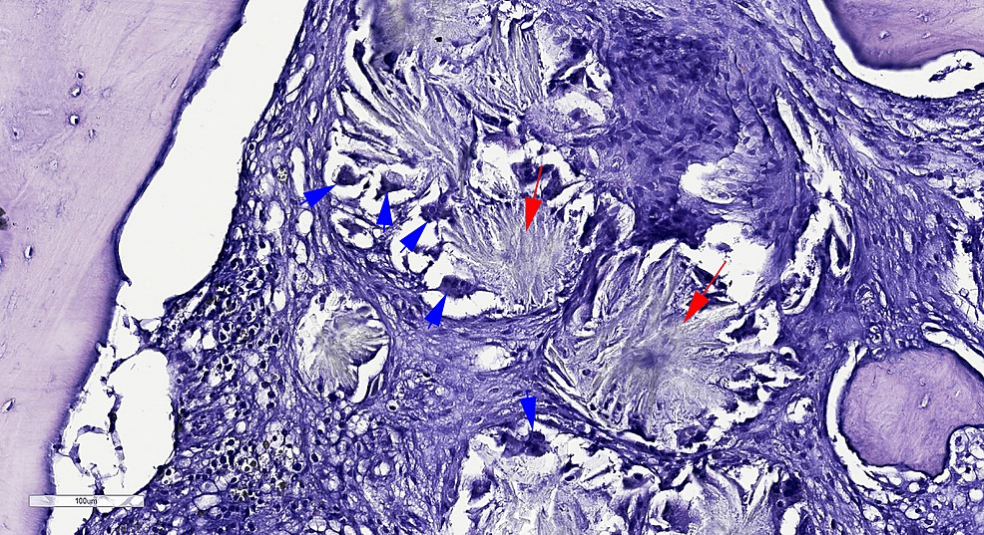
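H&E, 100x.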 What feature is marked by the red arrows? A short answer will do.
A: needle-shaped oxalate crystals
